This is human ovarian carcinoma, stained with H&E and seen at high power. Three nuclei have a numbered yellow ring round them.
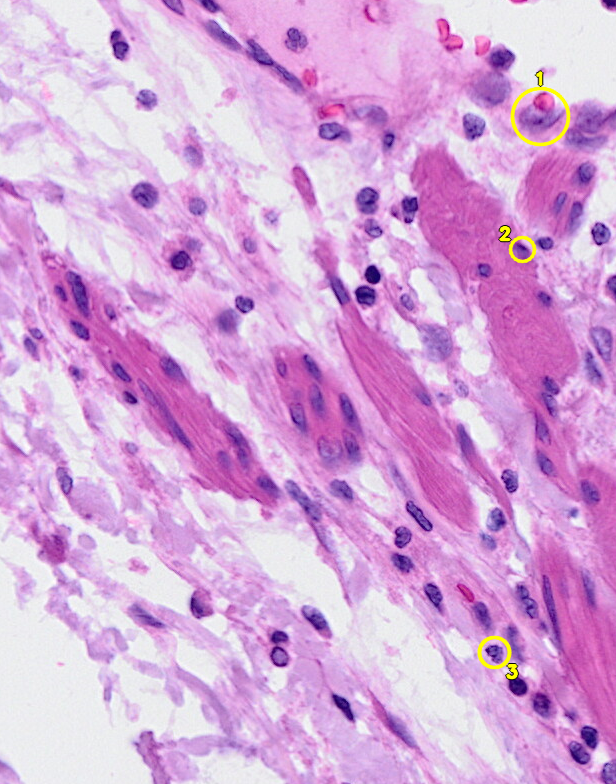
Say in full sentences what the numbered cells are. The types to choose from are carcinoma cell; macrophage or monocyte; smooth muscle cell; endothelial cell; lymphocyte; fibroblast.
Cell 1 is an endothelial cell. Cell 2 is a smooth muscle cell. Cell 3 is a lymphocyte.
